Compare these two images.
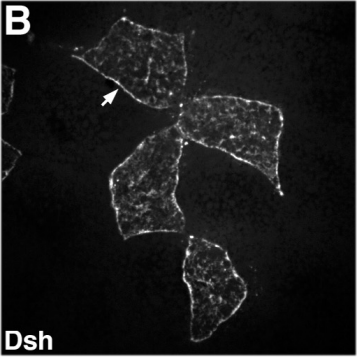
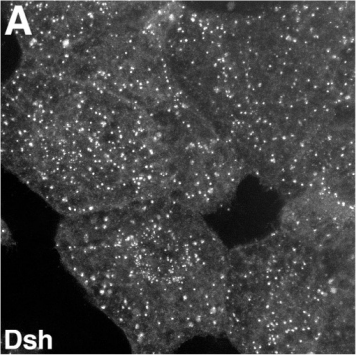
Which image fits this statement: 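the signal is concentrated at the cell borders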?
the first image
